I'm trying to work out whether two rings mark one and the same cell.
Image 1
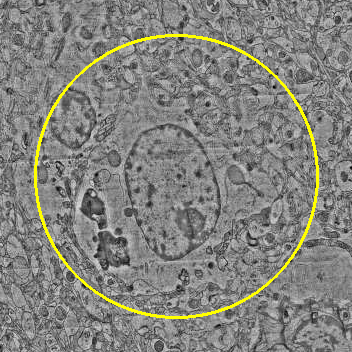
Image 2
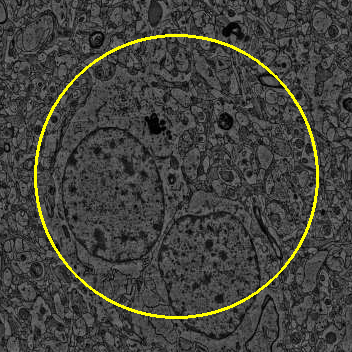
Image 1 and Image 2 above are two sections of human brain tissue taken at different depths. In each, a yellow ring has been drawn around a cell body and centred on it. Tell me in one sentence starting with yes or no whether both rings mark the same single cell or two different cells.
Yes, one single cell is under each of the two rings.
